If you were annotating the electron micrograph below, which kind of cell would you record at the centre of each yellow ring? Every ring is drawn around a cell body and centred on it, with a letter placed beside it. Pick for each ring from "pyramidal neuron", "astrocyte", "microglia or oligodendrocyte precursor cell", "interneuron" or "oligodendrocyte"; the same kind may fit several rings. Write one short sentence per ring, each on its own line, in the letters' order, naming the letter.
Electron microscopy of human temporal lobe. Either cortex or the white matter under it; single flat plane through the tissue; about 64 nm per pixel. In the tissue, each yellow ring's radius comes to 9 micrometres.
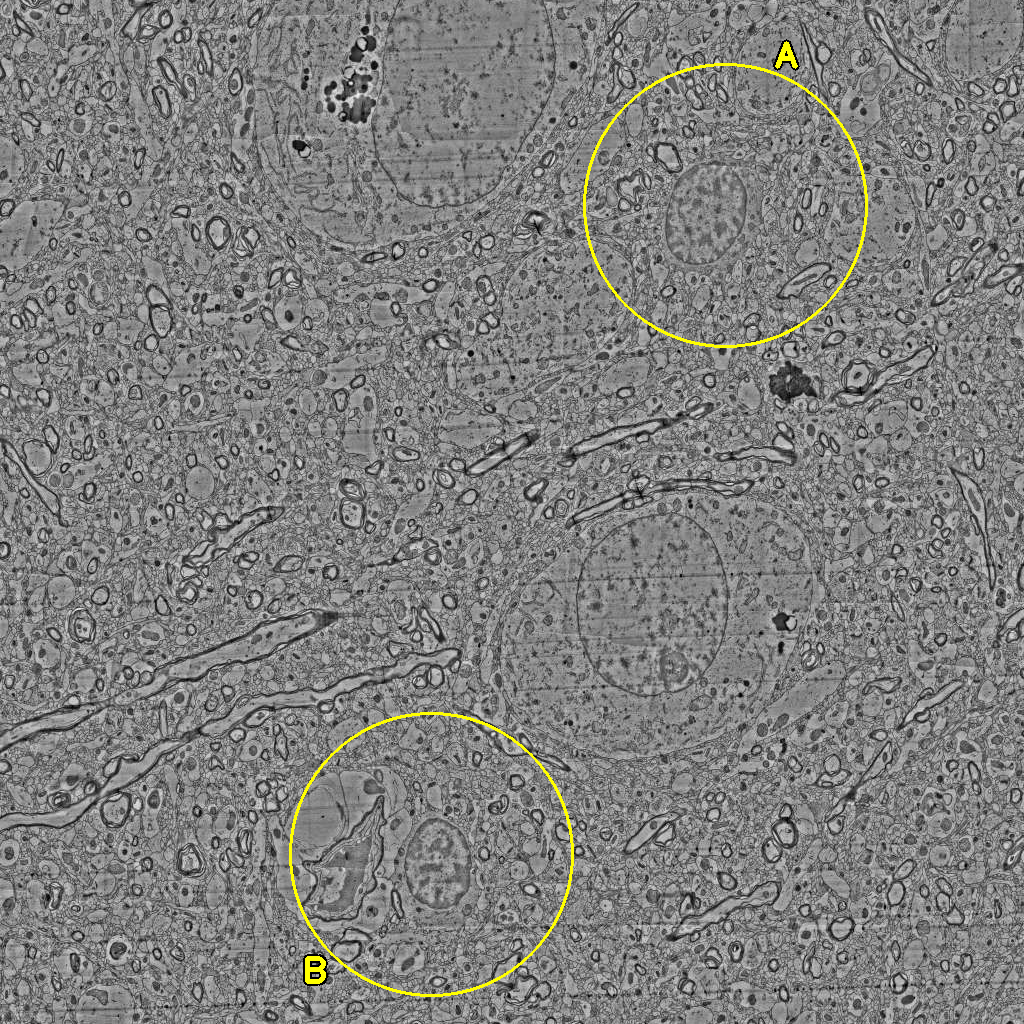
For ring A, I would record an oligodendrocyte.
For ring B, I would record an oligodendrocyte.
